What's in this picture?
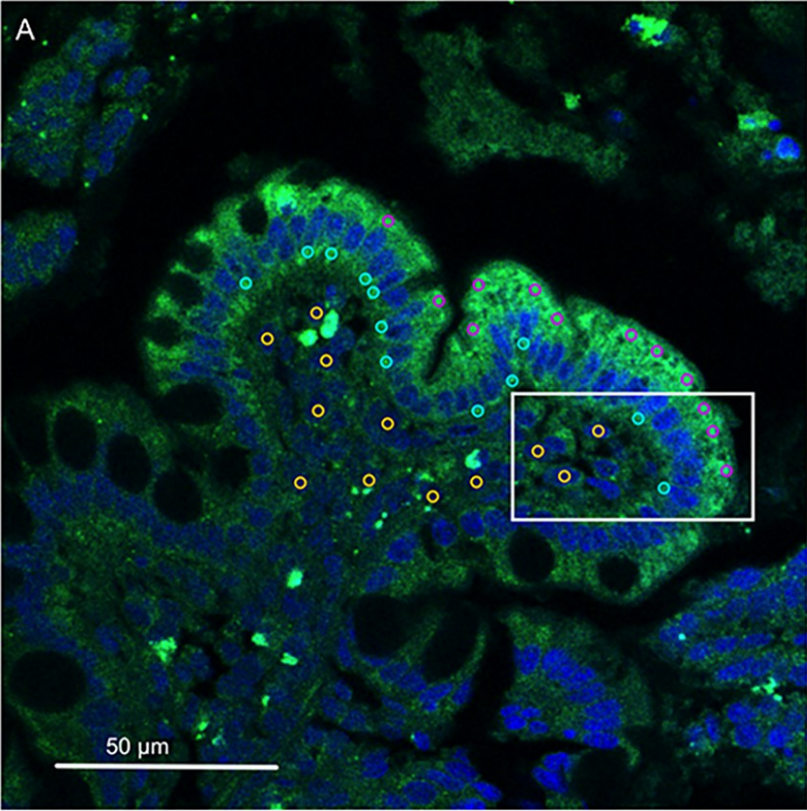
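This is a fold of intestinal mucosa lined by a single layer of tall columnar epithelial cells, the enterocytes, with a connective core of lamina propria beneath. The elongated blue nuclei of the epithelial cells form a palisade row, and the green staining is strongest in the band of cytoplasm between this row and the free surface, weaker on the inner side. The core holds scattered, more irregular nuclei and a few small, intensely green blobs, while further crypts or villi cut in cross-section surround the fold.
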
